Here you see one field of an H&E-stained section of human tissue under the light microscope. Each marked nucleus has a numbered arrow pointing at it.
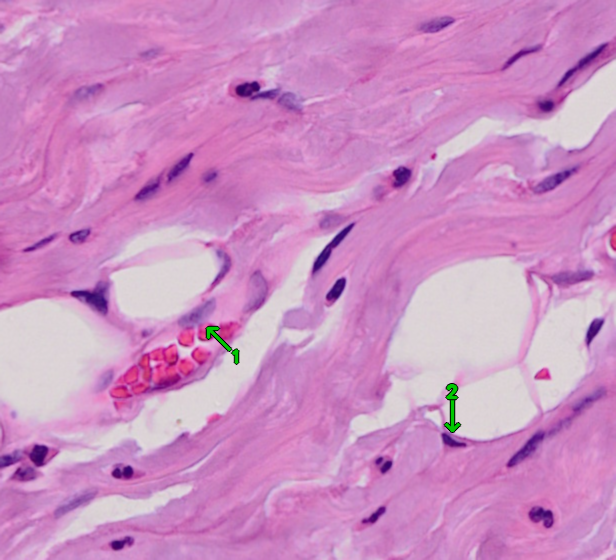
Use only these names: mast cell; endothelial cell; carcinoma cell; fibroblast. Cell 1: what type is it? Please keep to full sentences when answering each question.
The cell referenced by the number 1 is an endothelial cell in this field.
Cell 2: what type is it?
In the marked set, the cell given number 2 is a fibroblast.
